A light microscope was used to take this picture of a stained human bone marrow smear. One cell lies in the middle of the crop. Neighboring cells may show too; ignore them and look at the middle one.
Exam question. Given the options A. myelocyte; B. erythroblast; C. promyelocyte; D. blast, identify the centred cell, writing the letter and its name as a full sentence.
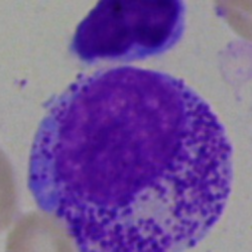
The cell in the center of this crop is a myelocyte, so option A is the one to pick.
